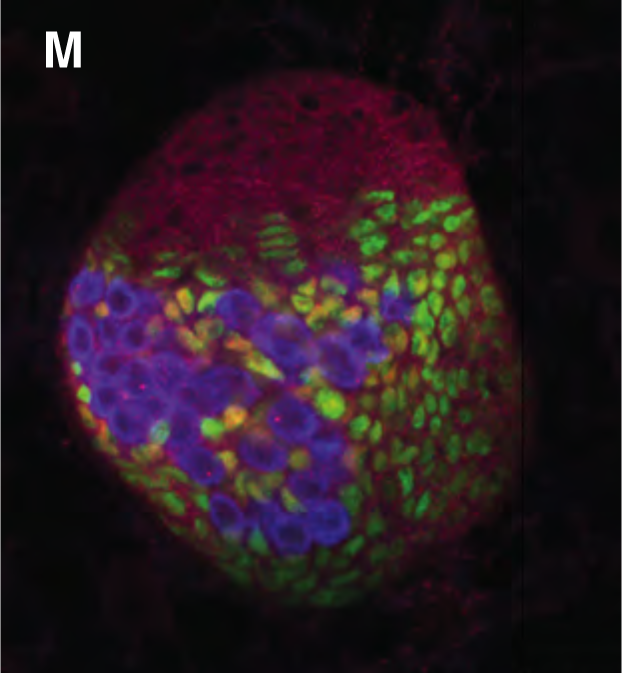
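A larval ovary is seen, with rounded germ cells stained blue gathered in its centre. Many small cells with green nuclei surround and mingle with the germ cells, some forming a dense sheet along one side.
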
